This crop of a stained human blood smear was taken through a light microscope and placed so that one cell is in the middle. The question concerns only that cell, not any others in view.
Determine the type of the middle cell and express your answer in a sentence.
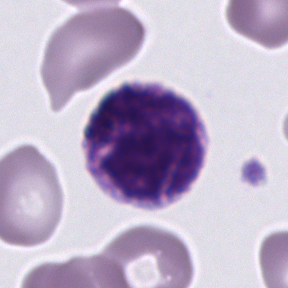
This particular crop is centered on a basophil.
